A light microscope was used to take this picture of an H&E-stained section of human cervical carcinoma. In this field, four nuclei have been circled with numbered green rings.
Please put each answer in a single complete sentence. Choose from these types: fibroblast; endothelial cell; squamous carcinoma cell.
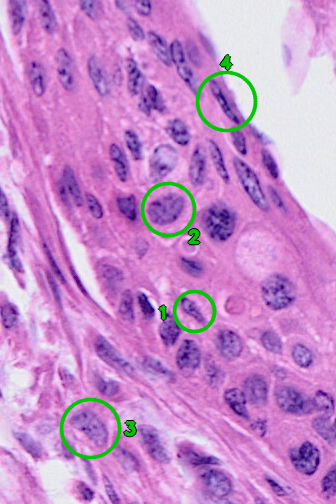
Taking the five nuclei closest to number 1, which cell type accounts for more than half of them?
Of the five nuclei nearest to number 1, most belong to squamous carcinoma cells.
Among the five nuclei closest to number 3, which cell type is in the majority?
Fibroblasts make up most of the five nuclei closest to number 3.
